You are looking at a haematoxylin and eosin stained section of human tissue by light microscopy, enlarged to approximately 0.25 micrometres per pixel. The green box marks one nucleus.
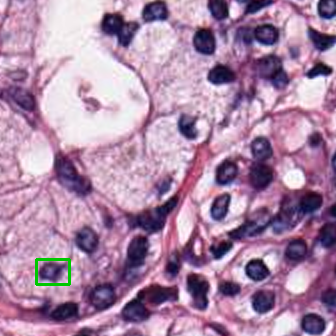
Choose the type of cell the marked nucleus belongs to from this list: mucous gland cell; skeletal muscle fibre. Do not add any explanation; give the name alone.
mucous gland cell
